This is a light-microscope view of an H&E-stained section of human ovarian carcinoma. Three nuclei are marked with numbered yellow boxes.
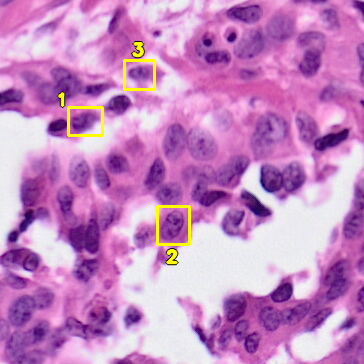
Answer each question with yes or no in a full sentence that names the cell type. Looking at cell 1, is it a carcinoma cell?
Yes, the cell labelled with number 1 is a carcinoma cell.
